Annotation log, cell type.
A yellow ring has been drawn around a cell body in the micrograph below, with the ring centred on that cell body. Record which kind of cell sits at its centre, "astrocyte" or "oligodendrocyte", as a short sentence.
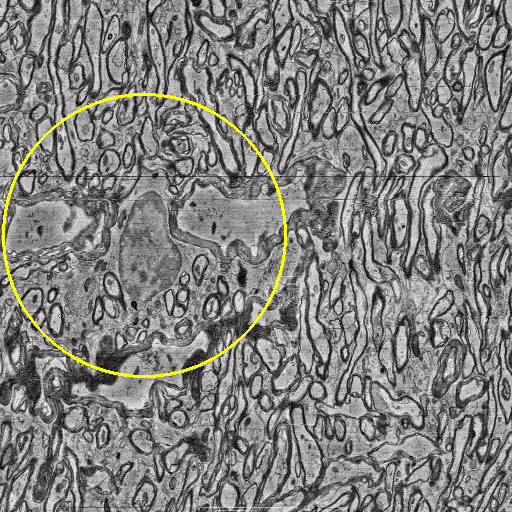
The cell at the centre of this ring is an oligodendrocyte.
